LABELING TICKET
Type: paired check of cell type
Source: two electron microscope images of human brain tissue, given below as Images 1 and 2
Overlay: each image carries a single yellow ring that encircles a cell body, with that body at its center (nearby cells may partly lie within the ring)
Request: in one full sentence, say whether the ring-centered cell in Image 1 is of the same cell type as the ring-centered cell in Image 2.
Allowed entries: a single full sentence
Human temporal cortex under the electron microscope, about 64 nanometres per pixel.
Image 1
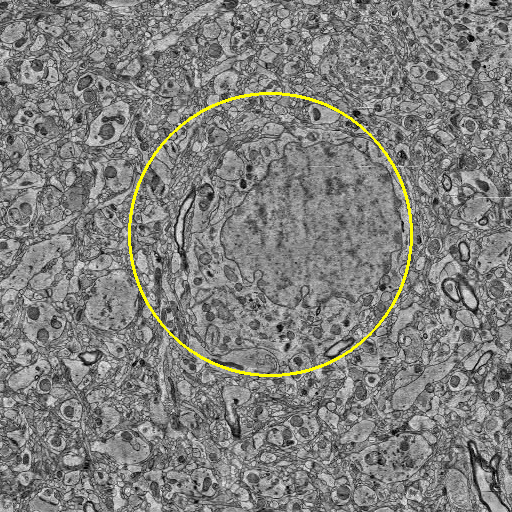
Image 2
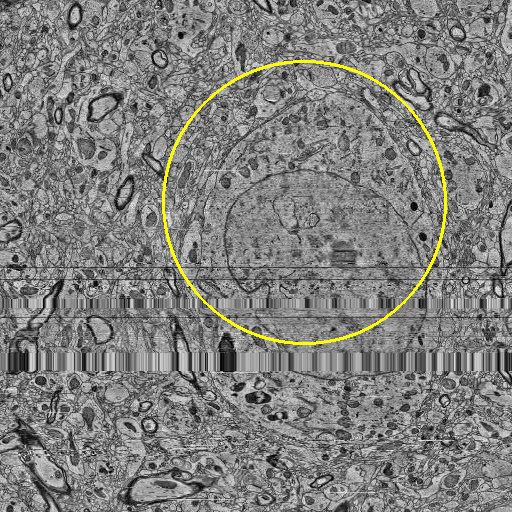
No, the cells centered in the rings of Image 1 and Image 2 are of two types.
